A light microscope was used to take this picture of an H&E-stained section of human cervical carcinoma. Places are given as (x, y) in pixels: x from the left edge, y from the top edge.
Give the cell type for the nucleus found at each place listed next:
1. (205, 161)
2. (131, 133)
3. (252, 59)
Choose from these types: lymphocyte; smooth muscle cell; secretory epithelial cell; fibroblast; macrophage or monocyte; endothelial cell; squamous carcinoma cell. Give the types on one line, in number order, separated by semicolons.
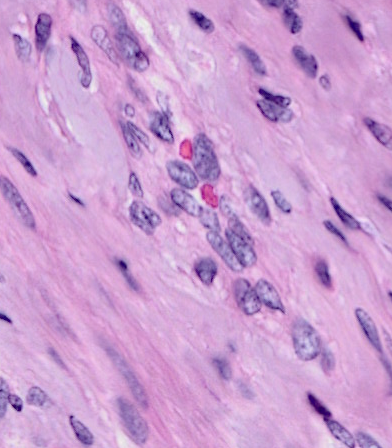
endothelial cell; endothelial cell; fibroblast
